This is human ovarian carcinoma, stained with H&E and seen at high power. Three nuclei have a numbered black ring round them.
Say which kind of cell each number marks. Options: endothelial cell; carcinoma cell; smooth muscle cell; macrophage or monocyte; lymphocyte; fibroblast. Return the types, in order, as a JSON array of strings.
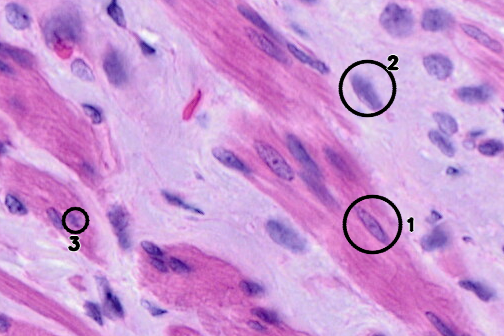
["smooth muscle cell", "fibroblast", "smooth muscle cell"]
